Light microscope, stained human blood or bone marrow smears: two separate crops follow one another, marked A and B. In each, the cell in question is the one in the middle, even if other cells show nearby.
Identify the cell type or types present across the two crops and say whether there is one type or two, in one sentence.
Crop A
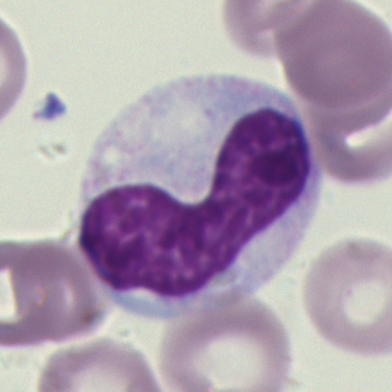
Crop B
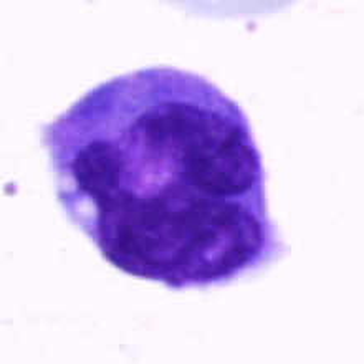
No, sorry, crop A shows a band neutrophil and crop B shows a monocyte.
